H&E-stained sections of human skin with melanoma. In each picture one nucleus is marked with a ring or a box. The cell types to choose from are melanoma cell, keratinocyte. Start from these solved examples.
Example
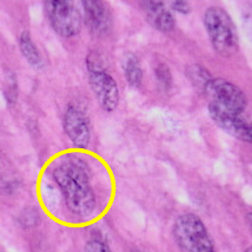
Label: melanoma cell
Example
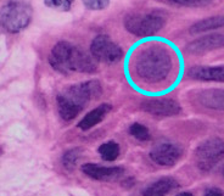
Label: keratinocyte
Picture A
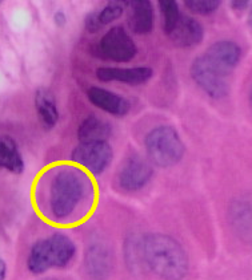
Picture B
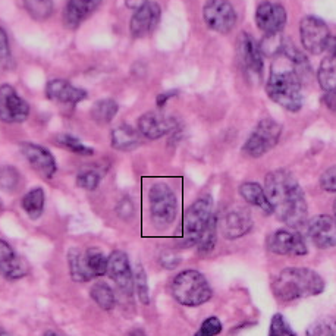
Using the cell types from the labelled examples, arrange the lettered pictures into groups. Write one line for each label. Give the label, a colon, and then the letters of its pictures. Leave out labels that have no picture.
melanoma cell: B
keratinocyte: A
